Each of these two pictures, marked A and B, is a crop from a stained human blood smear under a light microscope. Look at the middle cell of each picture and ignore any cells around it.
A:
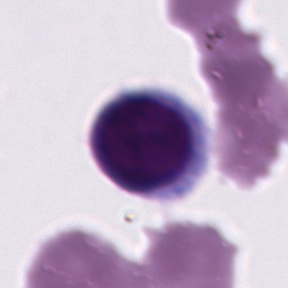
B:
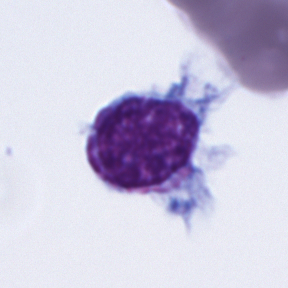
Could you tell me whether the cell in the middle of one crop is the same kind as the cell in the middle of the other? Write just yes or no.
yes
